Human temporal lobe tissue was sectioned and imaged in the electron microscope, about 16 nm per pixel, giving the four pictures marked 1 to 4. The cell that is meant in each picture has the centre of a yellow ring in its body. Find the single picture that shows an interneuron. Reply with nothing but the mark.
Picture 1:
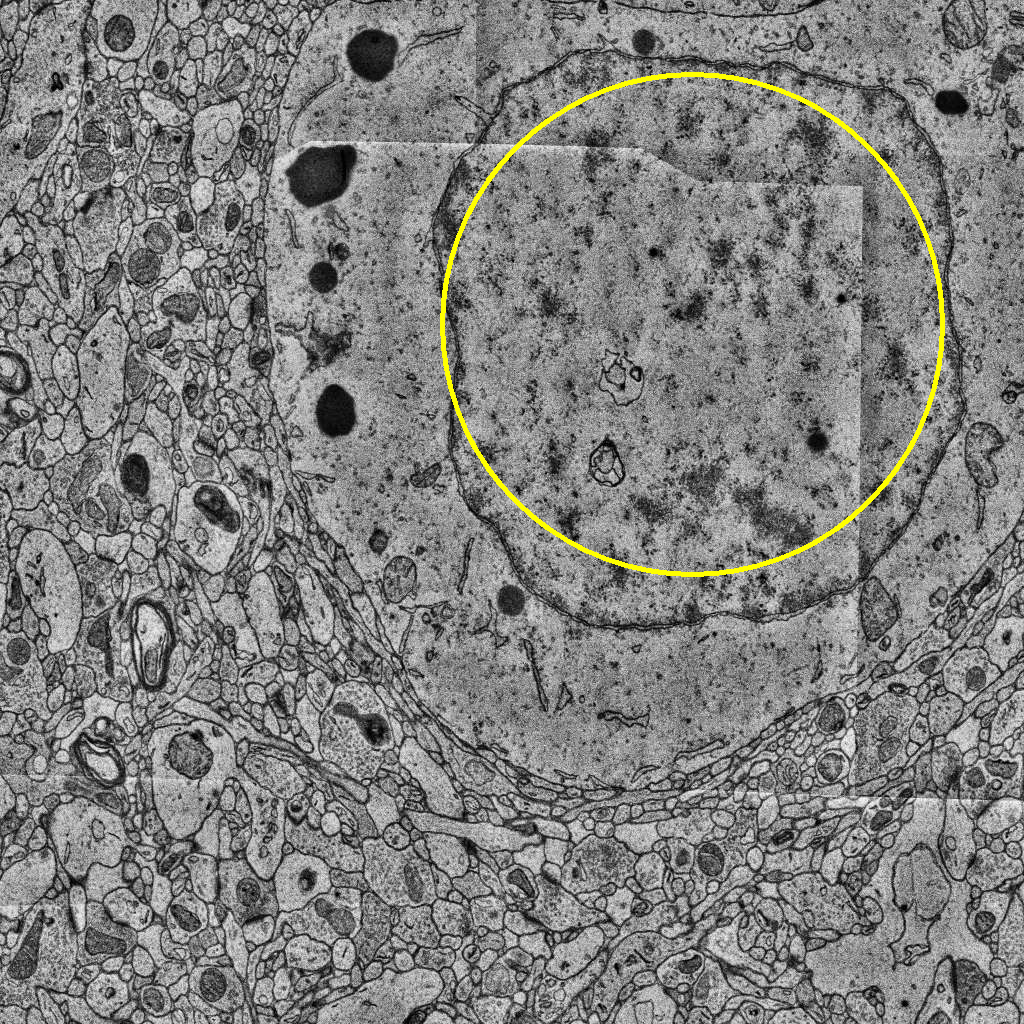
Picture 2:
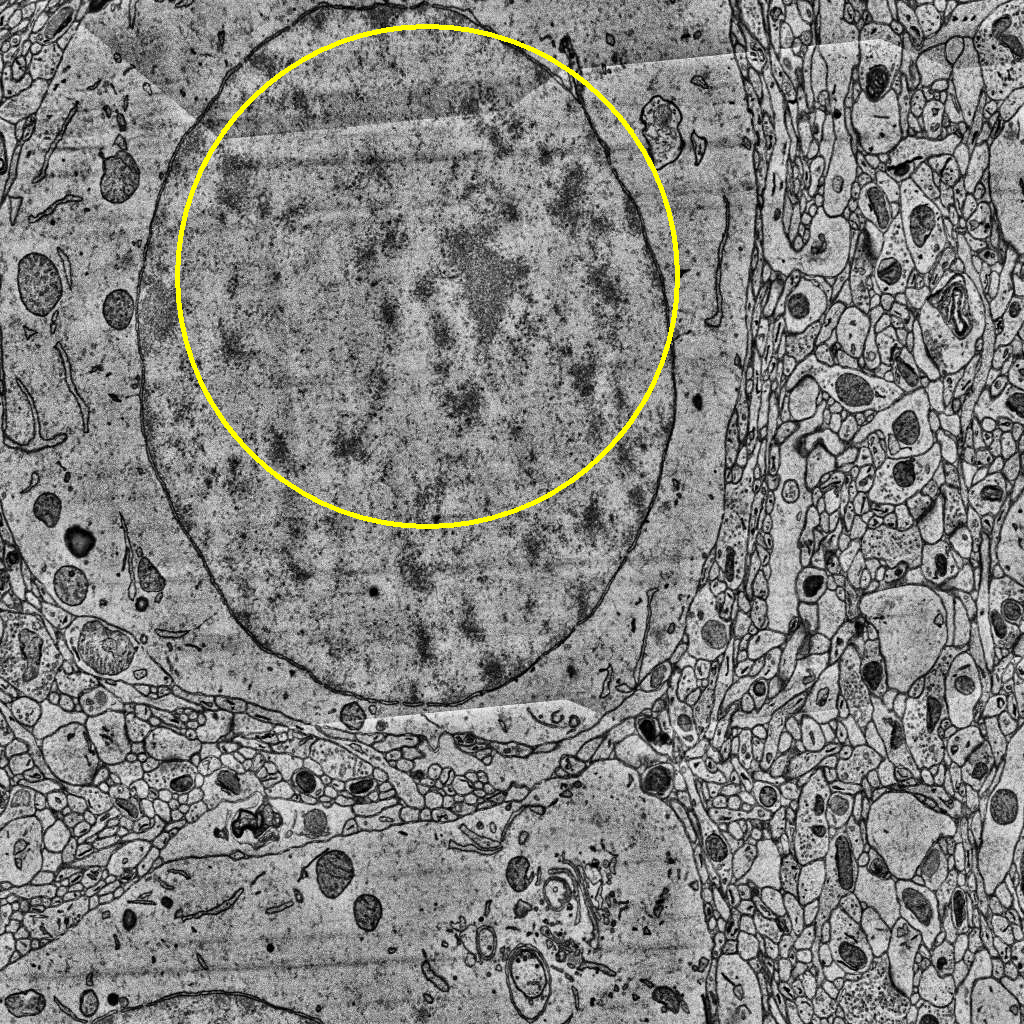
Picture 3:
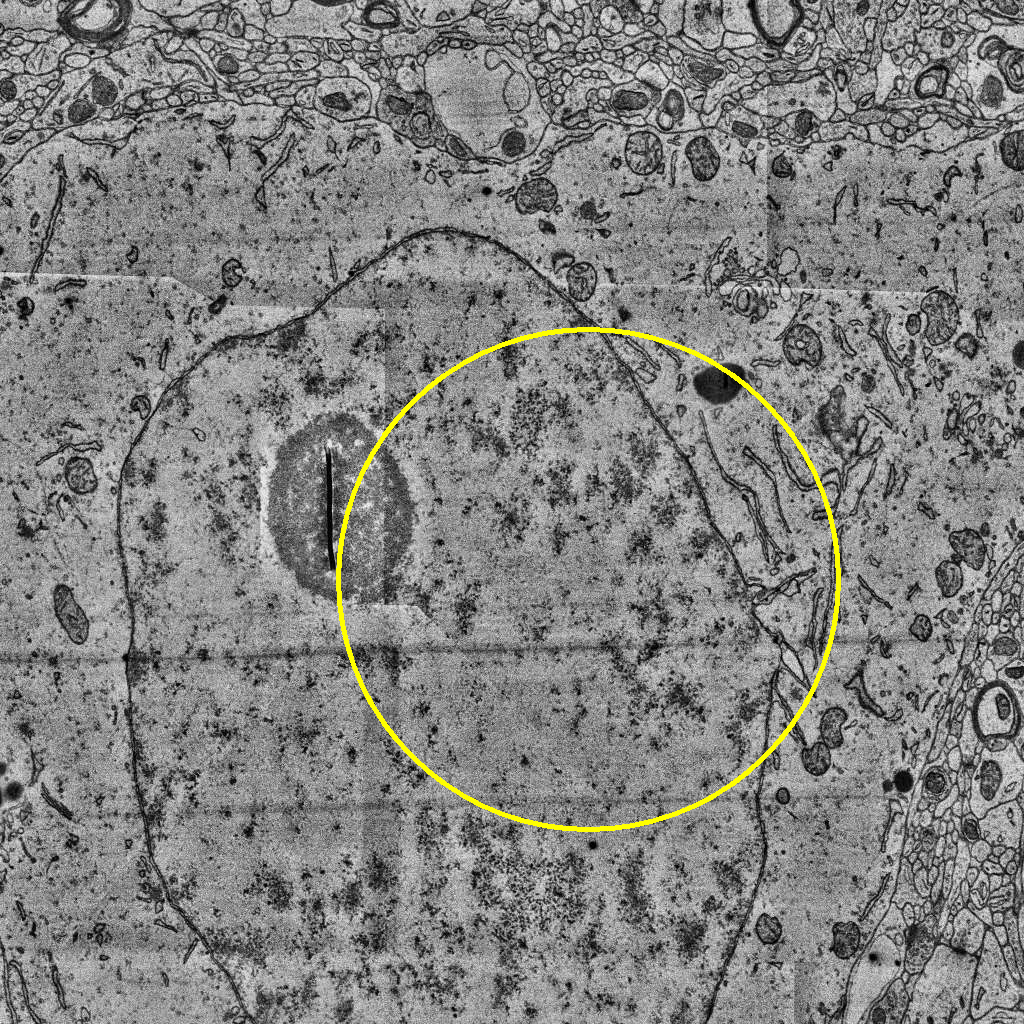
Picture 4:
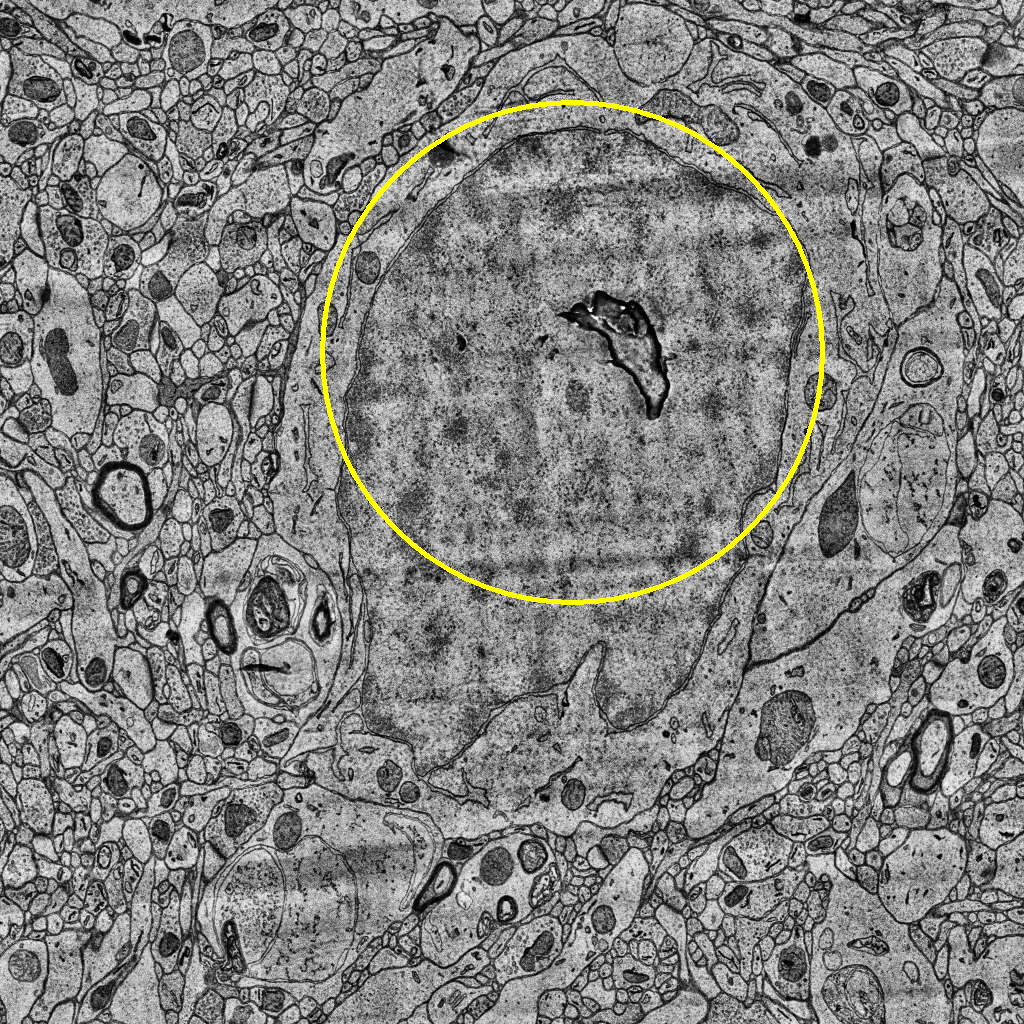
4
